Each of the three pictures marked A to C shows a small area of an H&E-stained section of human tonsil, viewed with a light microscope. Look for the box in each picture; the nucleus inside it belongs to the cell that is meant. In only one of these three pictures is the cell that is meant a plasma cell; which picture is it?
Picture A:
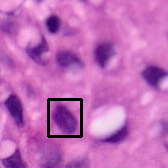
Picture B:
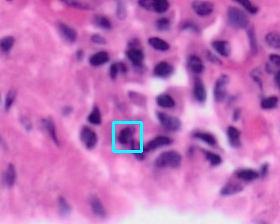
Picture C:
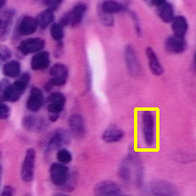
B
